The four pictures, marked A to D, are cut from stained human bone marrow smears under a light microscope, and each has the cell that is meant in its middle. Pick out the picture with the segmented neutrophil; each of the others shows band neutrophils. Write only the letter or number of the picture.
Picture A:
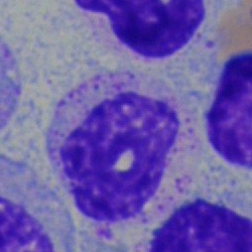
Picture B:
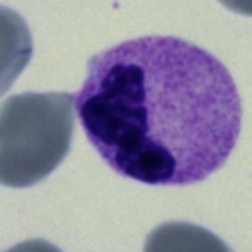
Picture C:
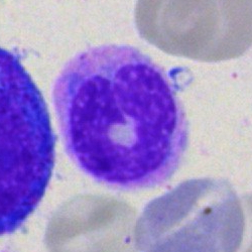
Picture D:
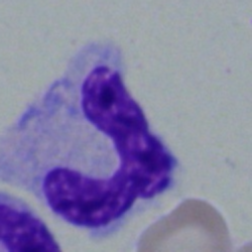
B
